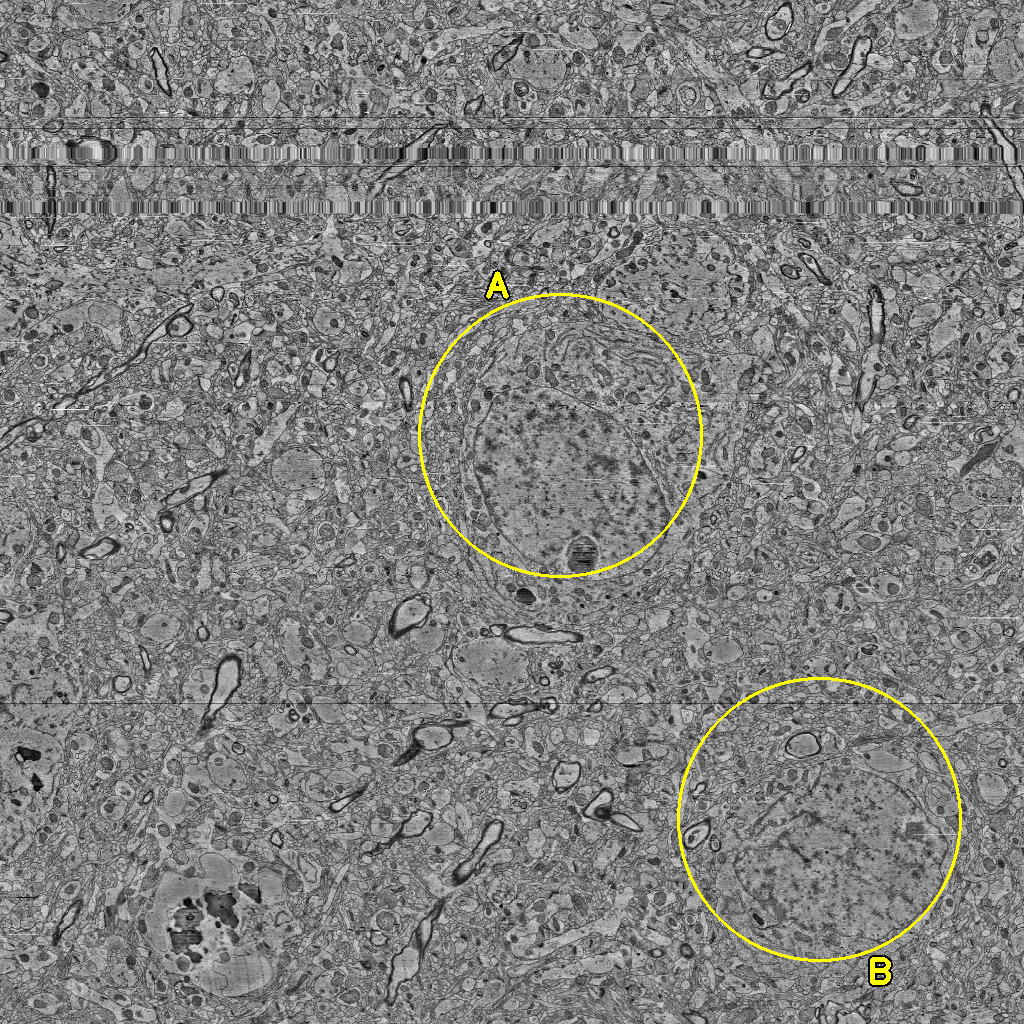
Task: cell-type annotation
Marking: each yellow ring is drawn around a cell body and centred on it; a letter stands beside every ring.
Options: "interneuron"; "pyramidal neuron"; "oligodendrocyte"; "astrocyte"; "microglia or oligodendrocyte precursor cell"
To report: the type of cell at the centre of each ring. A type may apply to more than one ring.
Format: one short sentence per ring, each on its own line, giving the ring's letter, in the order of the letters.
Ring A is centred on an interneuron.
Ring B is centred on an interneuron.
